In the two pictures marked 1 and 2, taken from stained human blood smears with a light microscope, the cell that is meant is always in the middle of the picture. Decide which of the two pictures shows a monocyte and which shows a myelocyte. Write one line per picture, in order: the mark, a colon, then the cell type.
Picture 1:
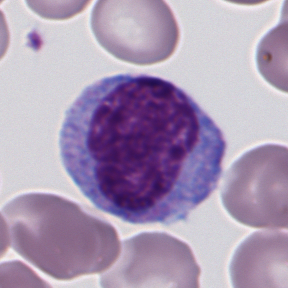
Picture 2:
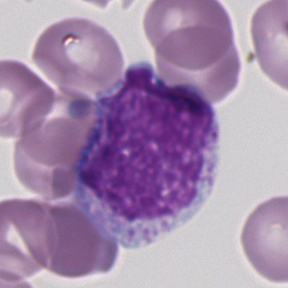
1: monocyte
2: myelocyte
